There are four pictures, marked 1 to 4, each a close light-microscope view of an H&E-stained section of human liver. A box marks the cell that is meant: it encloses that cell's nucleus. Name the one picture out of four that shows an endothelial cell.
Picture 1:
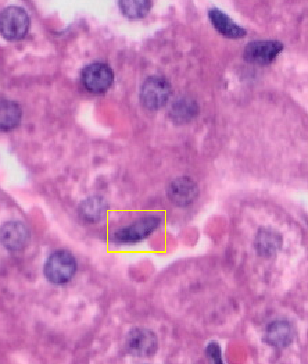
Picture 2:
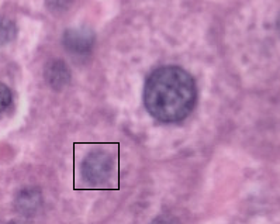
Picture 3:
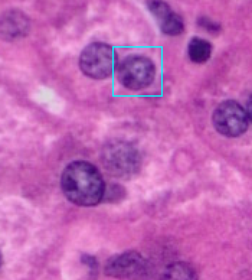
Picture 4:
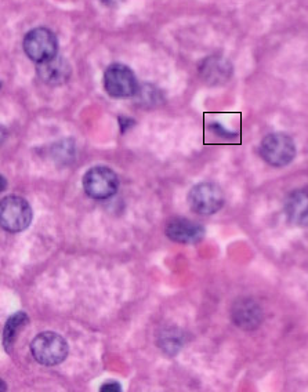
4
